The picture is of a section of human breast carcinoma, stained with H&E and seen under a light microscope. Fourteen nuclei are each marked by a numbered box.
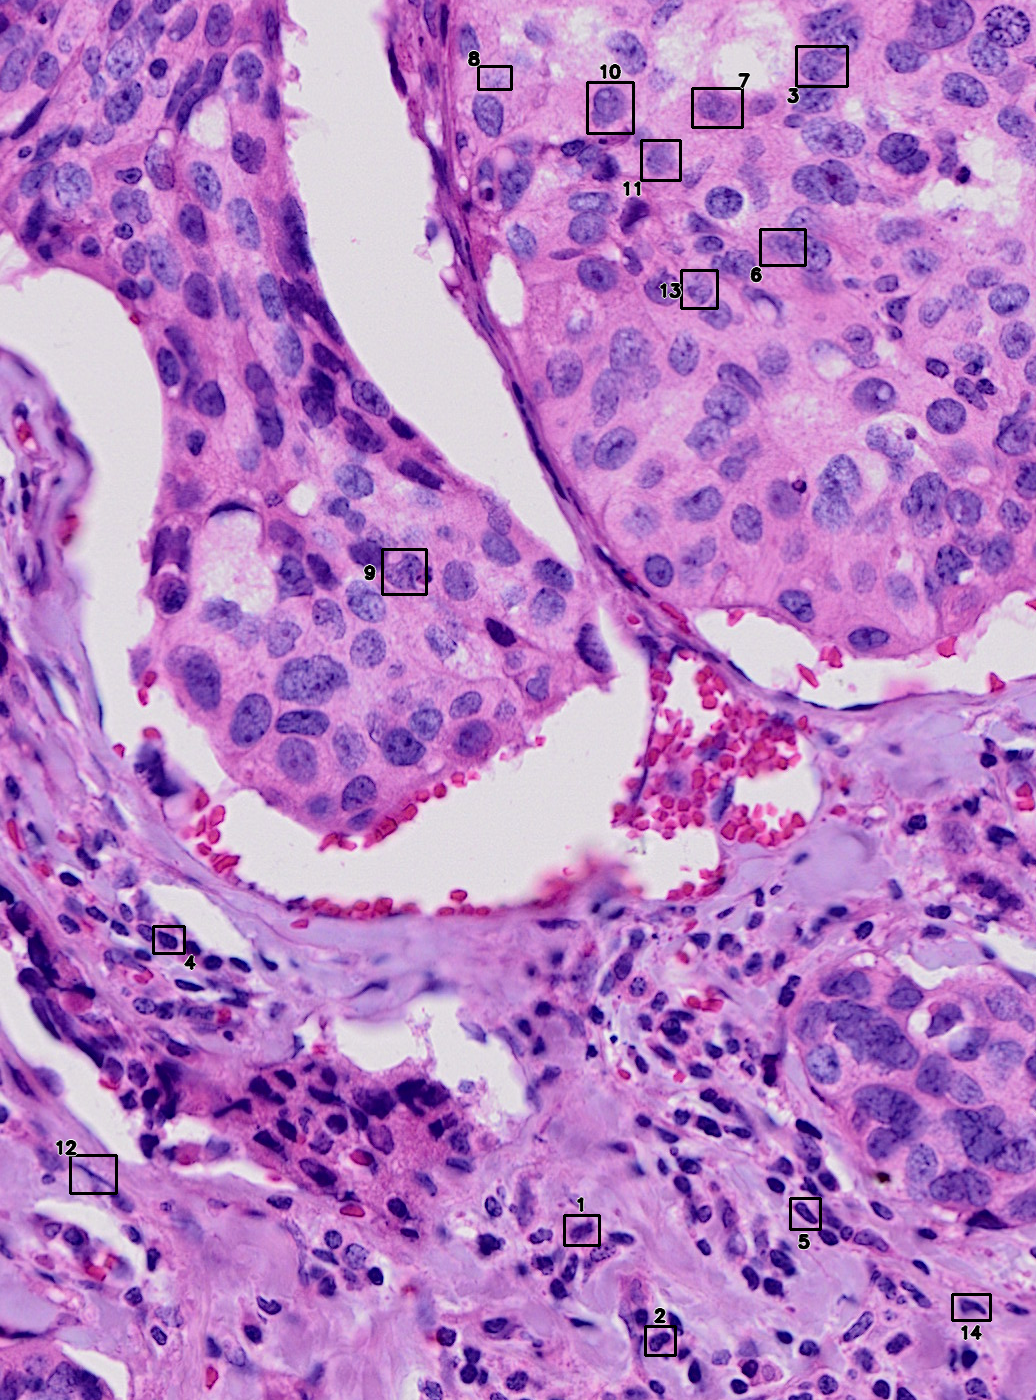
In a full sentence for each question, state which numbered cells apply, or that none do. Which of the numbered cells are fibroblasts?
Only the cell marked 12 is a fibroblast.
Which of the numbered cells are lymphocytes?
On this slide, the cells numbered 1, 2, 4, 5 and 14 are lymphocytes.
